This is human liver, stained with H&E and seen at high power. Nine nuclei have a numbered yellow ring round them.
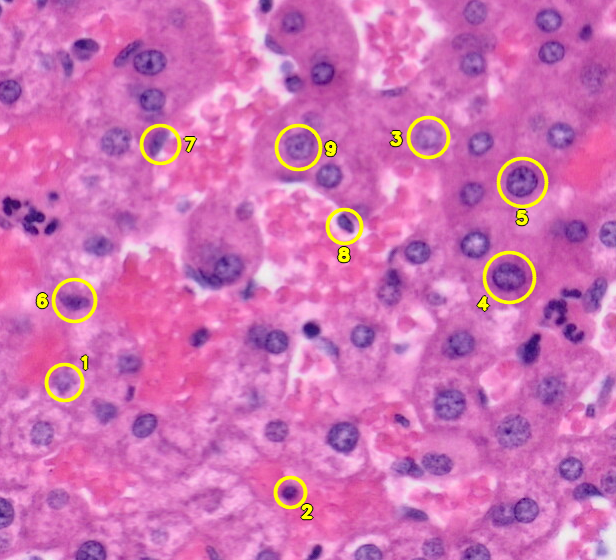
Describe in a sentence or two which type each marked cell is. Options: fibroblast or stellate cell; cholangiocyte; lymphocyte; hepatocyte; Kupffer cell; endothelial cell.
Cell 1 is a hepatocyte, cell 2 is a lymphocyte, cell 3 is a hepatocyte, cell 4 is a hepatocyte, cell 5 is a hepatocyte, cell 6 is a fibroblast or stellate cell, cell 7 is an endothelial cell, cell 8 is a lymphocyte and cell 9 is a hepatocyte.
